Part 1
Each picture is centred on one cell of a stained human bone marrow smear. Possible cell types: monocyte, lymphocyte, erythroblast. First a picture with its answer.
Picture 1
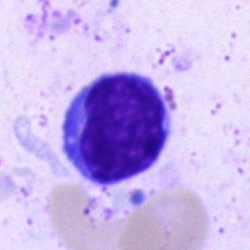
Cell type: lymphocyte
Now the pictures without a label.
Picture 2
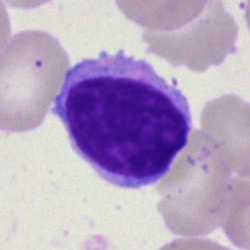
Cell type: lymphocyte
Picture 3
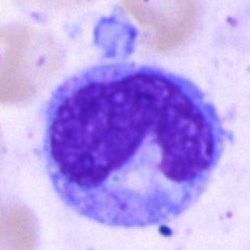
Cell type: monocyte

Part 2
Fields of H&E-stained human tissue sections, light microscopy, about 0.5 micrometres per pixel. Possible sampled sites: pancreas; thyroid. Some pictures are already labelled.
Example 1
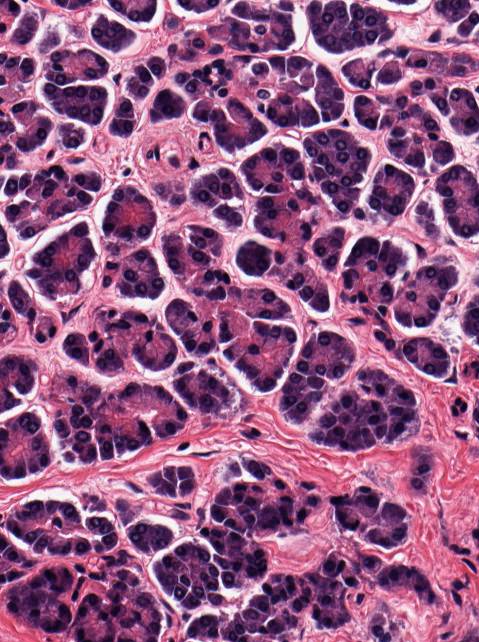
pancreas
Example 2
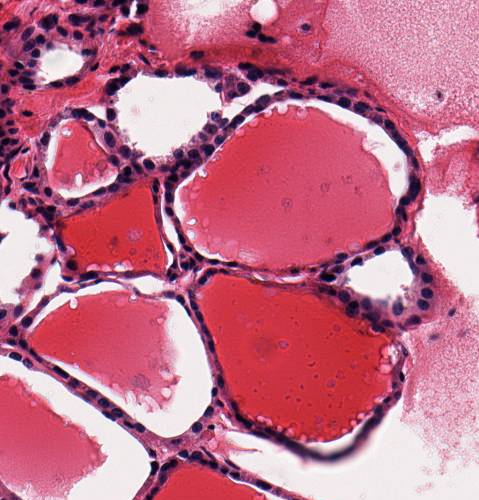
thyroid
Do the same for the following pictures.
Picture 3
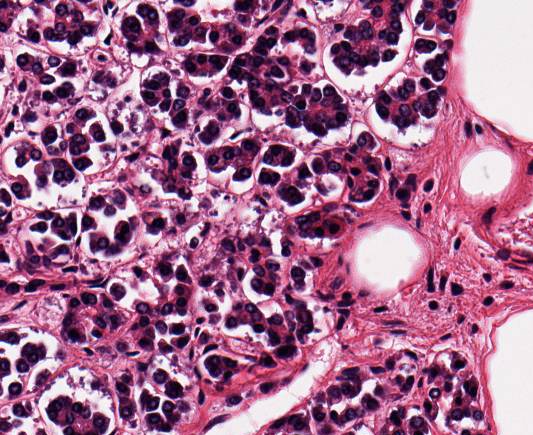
pancreas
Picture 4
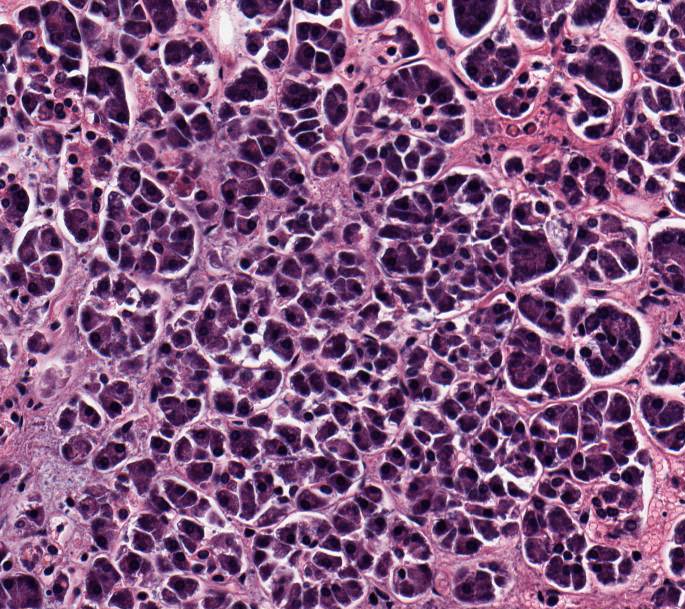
pancreas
